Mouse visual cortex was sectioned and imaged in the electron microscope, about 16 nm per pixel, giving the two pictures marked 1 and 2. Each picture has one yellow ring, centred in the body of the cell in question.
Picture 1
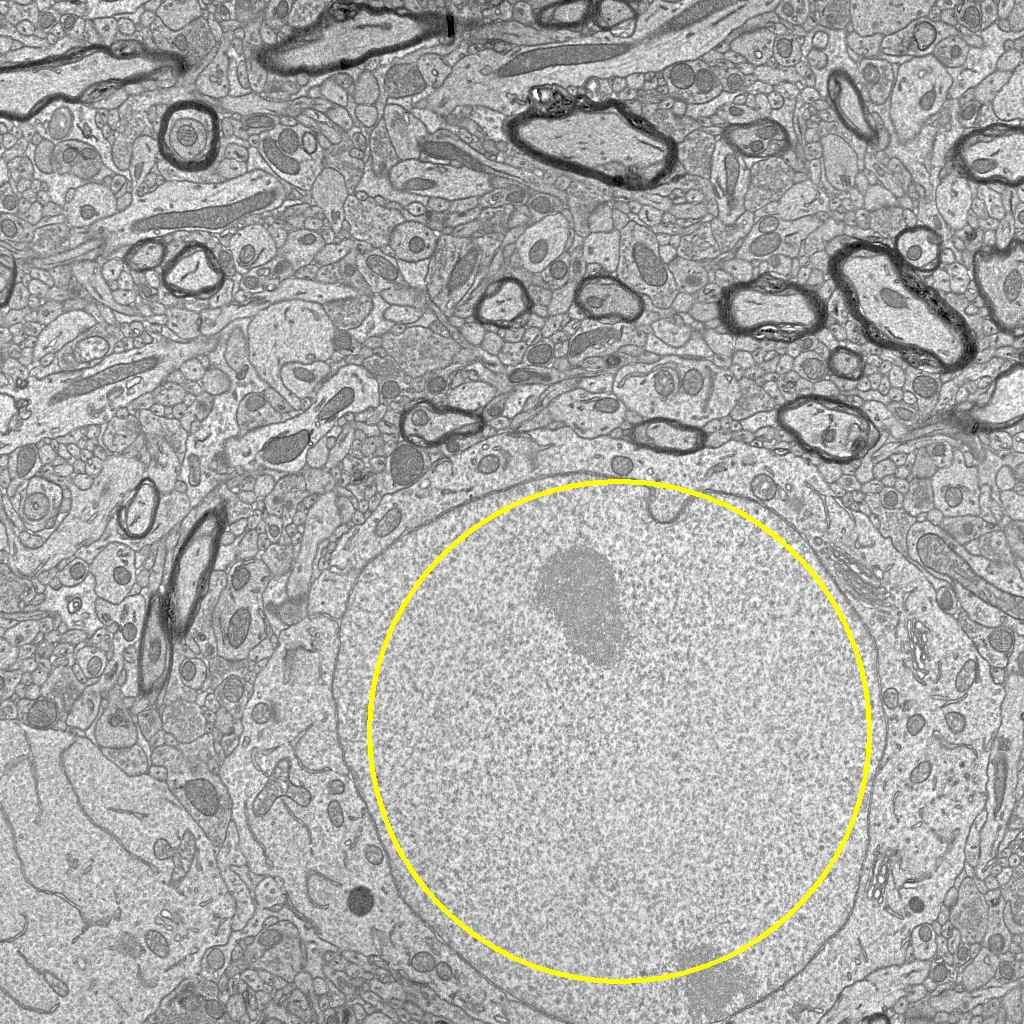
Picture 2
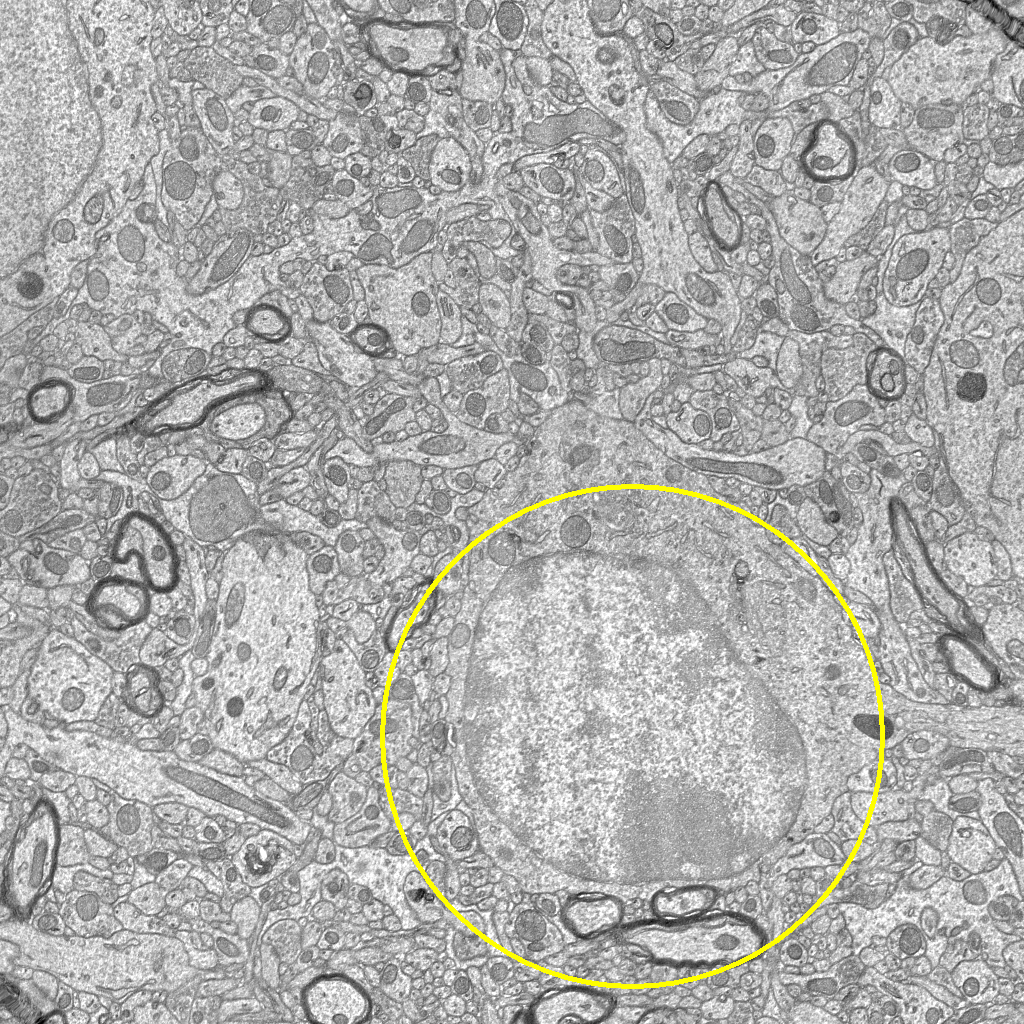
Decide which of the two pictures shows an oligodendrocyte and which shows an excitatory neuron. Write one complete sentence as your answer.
It is picture 1 that shows an excitatory neuron, and picture 2 that shows an oligodendrocyte.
